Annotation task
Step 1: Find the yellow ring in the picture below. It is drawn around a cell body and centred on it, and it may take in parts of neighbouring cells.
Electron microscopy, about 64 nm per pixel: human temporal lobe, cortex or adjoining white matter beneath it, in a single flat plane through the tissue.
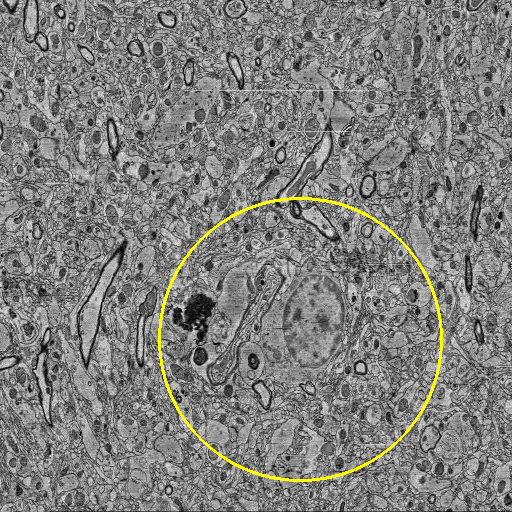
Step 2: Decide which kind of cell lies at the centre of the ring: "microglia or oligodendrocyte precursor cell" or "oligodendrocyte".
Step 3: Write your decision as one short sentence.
The kind of cell at the ring's centre is an oligodendrocyte.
